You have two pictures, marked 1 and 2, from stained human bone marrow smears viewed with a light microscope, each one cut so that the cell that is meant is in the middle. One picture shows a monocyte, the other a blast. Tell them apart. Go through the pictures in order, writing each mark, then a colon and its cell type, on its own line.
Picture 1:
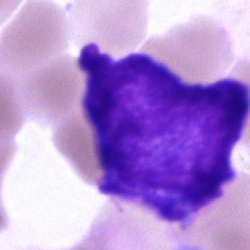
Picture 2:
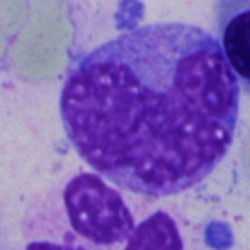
1: blast
2: monocyte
